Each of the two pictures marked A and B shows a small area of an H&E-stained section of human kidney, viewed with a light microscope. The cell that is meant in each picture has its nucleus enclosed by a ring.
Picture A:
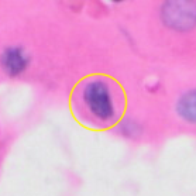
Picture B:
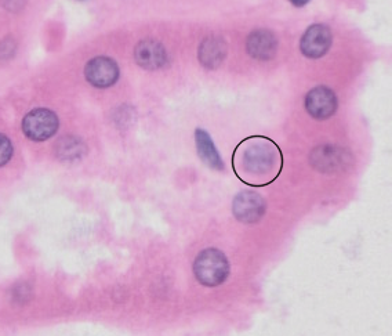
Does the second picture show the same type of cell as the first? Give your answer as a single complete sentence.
No. Picture A shows a “loop of Henle or distal tubule cell”, but picture B shows a proximal tubule cell.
